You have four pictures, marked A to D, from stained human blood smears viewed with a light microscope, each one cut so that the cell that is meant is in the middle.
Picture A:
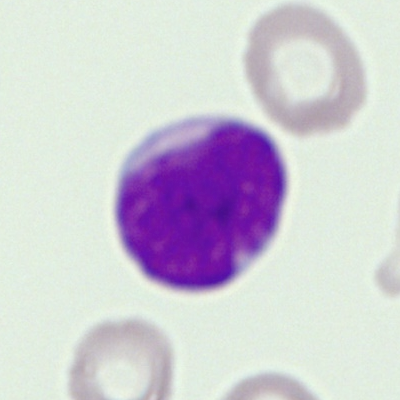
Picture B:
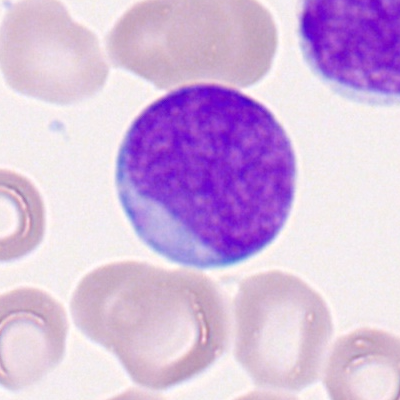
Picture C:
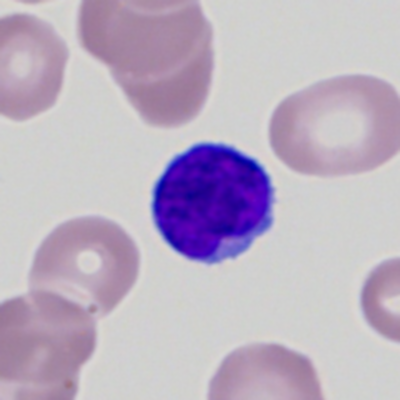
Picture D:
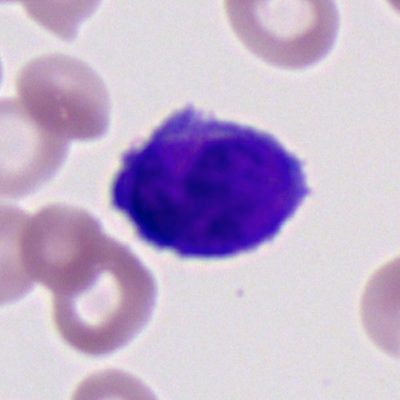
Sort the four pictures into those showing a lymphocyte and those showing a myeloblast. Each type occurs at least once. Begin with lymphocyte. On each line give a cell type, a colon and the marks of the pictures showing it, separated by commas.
lymphocyte: C
myeloblast: A, B, D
